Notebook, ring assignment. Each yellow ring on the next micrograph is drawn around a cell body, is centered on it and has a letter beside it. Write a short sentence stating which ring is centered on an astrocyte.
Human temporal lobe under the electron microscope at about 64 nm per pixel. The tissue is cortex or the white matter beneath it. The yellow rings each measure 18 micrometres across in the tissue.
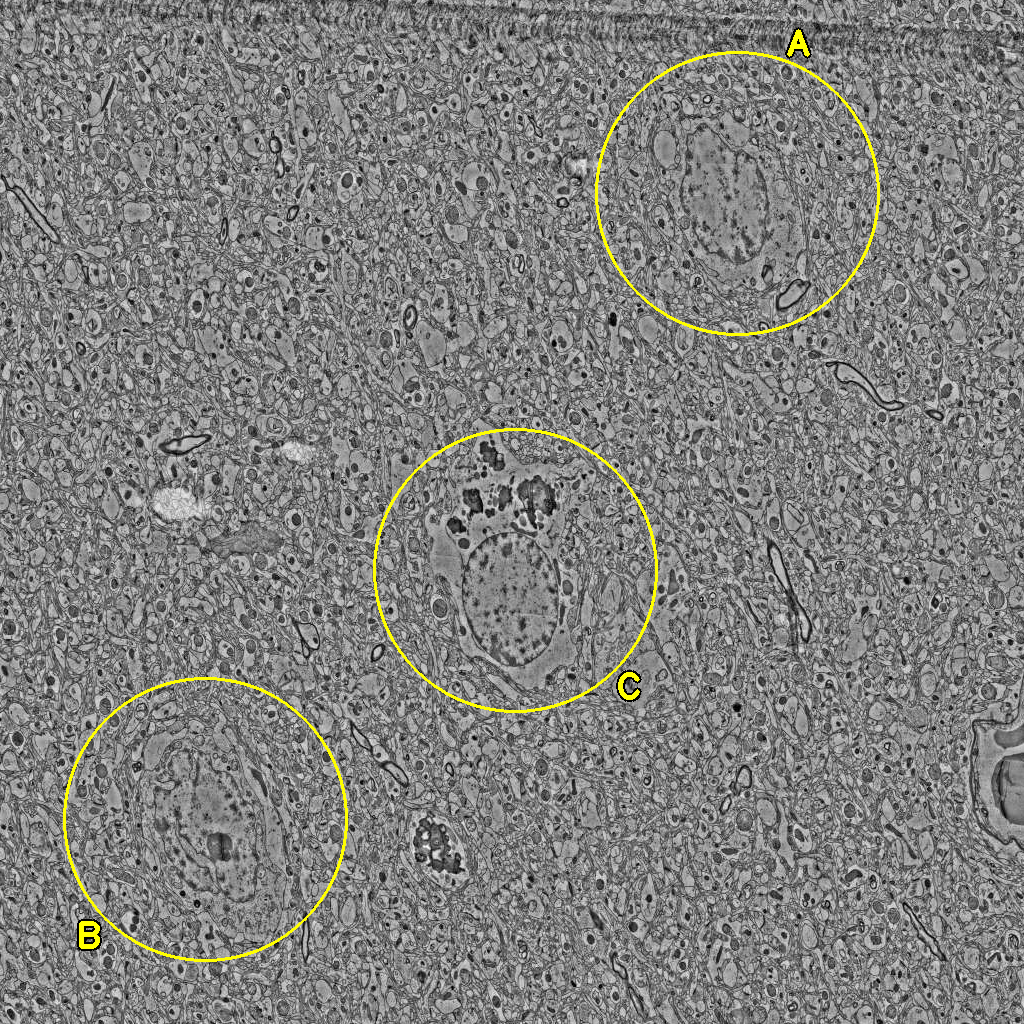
Ring C is centered on it.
